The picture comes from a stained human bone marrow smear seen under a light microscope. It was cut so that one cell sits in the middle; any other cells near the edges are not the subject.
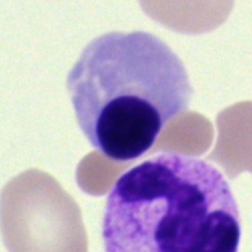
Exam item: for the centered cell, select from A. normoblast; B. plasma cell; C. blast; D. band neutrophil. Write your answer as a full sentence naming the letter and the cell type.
Option A correctly states that the central cell is a normoblast.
